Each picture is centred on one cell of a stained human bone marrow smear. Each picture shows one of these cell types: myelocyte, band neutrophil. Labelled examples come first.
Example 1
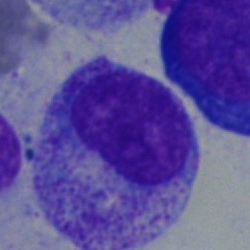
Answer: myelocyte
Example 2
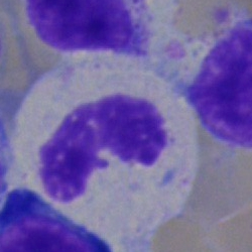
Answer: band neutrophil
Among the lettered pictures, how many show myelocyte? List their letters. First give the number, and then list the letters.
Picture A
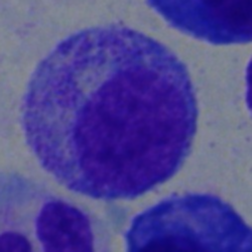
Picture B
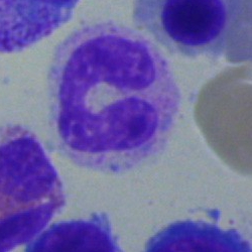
1: A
